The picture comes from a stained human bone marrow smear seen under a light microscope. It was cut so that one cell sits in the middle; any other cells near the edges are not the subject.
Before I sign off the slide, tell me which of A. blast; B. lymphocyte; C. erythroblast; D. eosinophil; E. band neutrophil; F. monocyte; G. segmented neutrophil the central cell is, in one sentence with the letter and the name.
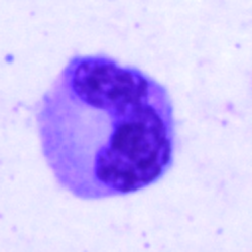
Answer key: option E, the middle cell being a band neutrophil.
